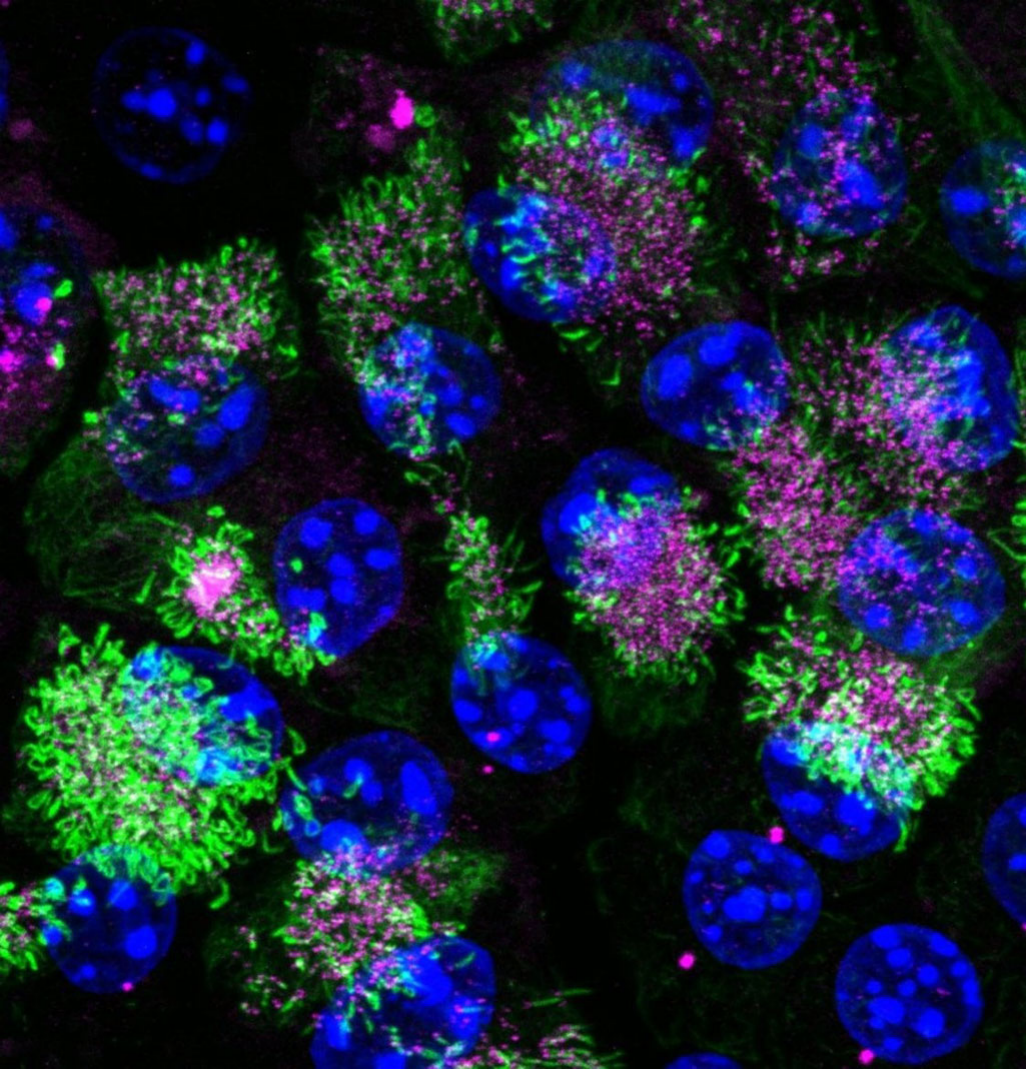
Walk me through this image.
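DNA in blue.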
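Multiciliated cells lie crowded among cells without tufts, each bearing a dense field of many thin, curved green cilia. The nuclei are round to oval and blue, with several brighter blue spots inside. Neighbouring cells without cilia tufts show nuclei of the same look and only one or two isolated magenta dots.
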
